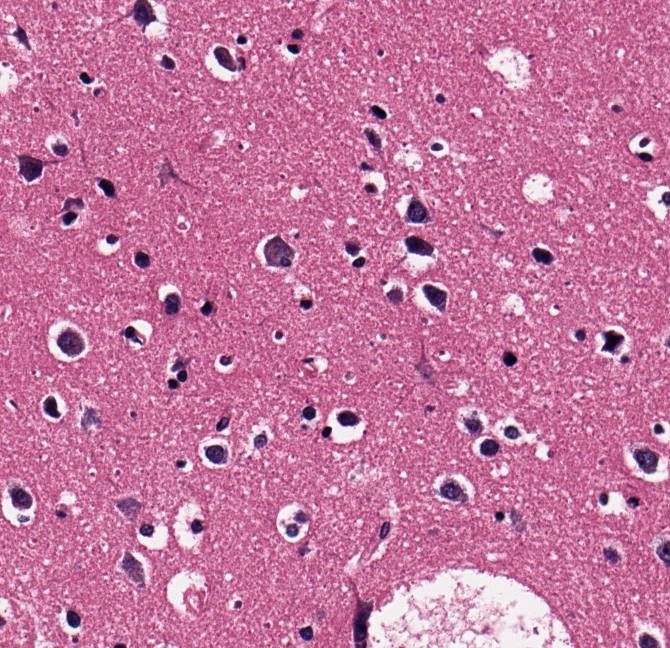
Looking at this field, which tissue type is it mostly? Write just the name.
cerebral cortex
